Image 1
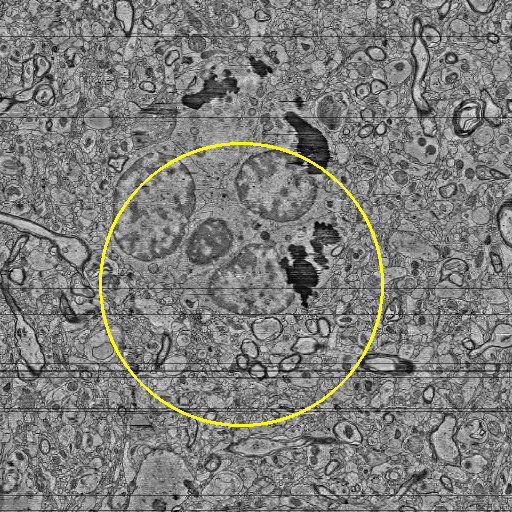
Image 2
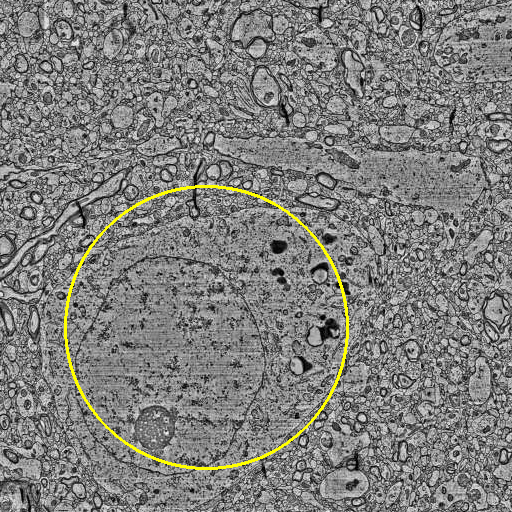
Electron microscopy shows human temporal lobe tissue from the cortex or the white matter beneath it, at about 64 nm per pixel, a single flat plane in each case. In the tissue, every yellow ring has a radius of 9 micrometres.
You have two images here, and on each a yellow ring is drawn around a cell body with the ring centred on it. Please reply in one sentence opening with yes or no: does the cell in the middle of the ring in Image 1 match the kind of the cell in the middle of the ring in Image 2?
No, the two images show cells of two kinds at the centres of their rings.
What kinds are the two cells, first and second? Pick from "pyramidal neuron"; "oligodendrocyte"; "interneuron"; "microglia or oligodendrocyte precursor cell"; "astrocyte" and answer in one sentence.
The second picture holds a pyramidal neuron in its ring, and the first holds an oligodendrocyte.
